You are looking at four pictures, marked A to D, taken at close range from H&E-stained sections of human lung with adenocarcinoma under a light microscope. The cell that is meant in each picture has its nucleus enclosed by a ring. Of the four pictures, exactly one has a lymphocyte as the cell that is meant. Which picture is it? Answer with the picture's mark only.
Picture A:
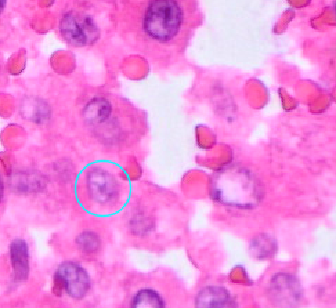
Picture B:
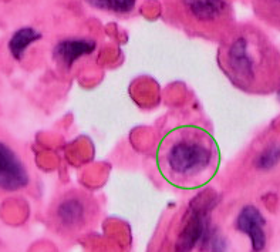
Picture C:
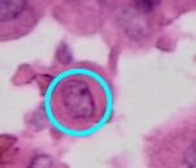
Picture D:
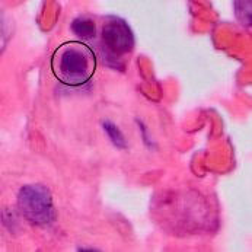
D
